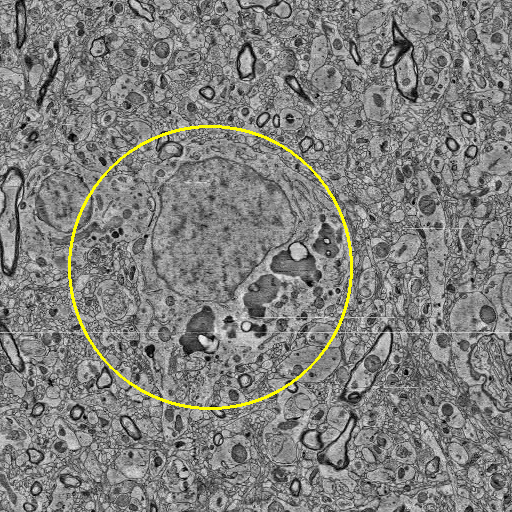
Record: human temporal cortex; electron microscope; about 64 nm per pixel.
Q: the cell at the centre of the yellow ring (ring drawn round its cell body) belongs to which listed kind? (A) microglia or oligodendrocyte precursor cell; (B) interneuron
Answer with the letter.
B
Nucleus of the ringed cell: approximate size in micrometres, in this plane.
The nucleus measures about 9 micrometers across in this plane.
